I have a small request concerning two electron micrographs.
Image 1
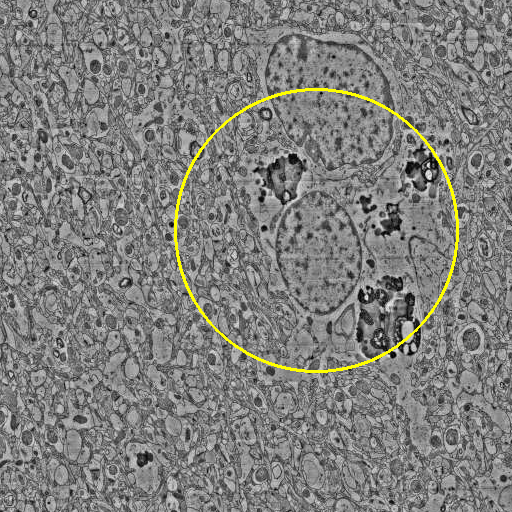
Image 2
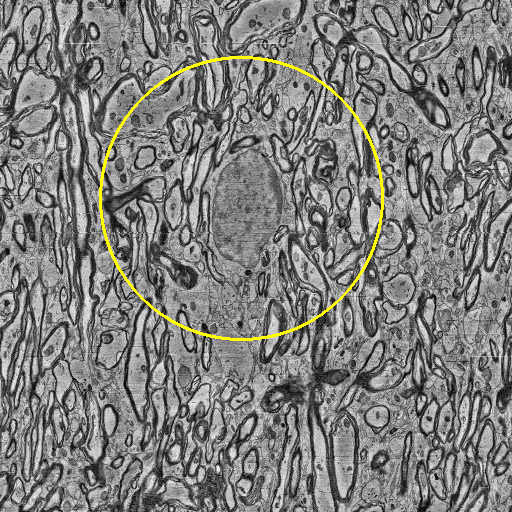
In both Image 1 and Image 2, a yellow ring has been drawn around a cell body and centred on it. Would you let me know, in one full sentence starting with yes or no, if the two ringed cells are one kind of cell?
No, the cells ringed in Image 1 and Image 2 are two kinds of cell.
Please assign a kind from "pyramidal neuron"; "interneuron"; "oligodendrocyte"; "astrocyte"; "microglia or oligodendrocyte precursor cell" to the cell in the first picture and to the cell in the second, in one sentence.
In the first picture we have an astrocyte, and in the second, an oligodendrocyte.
